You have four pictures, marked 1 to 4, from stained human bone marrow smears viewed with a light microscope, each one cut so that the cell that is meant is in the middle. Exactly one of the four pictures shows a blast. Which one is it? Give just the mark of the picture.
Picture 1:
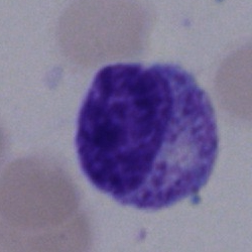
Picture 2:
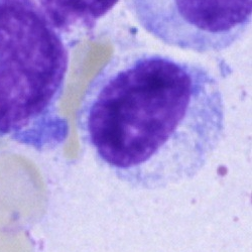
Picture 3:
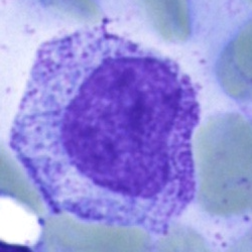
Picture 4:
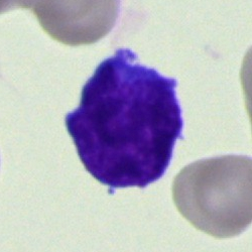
4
